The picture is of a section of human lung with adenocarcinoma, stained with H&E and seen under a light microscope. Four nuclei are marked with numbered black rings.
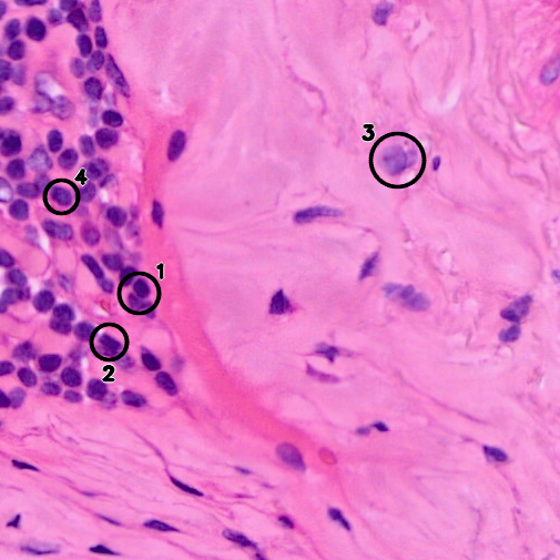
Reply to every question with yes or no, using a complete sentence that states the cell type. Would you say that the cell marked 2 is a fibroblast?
No, the cell referred to as 2 is a lymphocyte, not a fibroblast.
